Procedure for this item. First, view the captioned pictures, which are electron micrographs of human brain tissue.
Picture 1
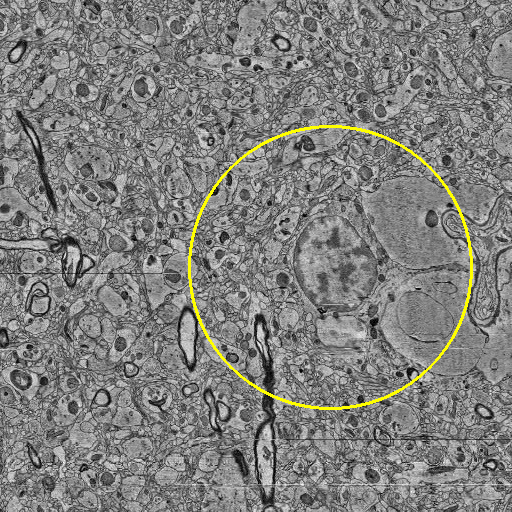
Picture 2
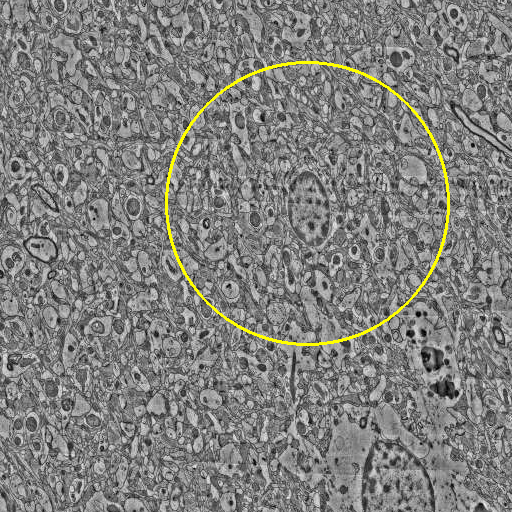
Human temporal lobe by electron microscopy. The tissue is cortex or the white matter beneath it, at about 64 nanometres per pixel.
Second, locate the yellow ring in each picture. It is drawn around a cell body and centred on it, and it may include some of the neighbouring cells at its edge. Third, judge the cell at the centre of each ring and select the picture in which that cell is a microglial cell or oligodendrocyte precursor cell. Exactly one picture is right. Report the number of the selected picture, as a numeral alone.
2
